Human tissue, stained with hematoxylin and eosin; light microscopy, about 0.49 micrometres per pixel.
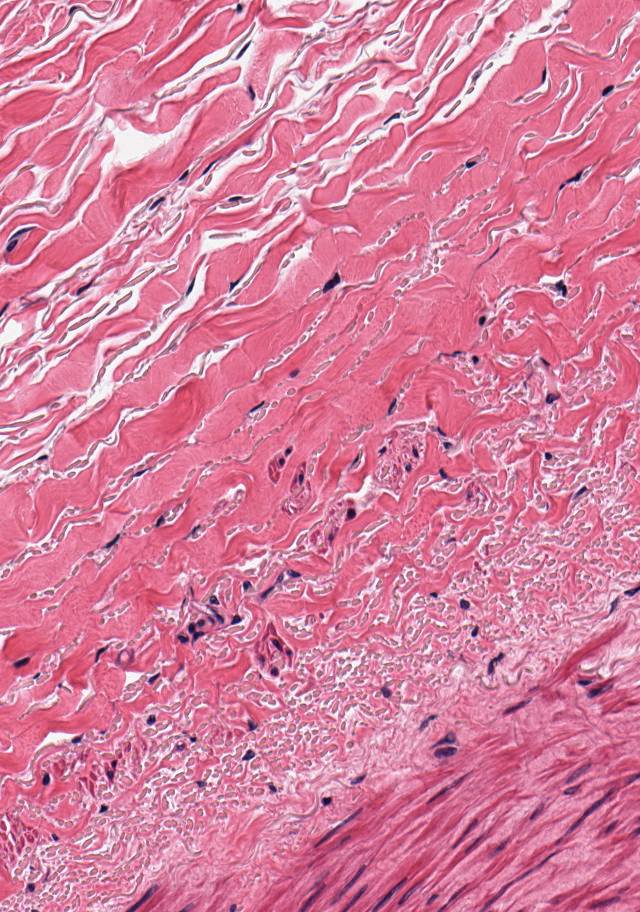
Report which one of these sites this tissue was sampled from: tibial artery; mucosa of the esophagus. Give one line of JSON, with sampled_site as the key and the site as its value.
{"sampled_site": "tibial artery"}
